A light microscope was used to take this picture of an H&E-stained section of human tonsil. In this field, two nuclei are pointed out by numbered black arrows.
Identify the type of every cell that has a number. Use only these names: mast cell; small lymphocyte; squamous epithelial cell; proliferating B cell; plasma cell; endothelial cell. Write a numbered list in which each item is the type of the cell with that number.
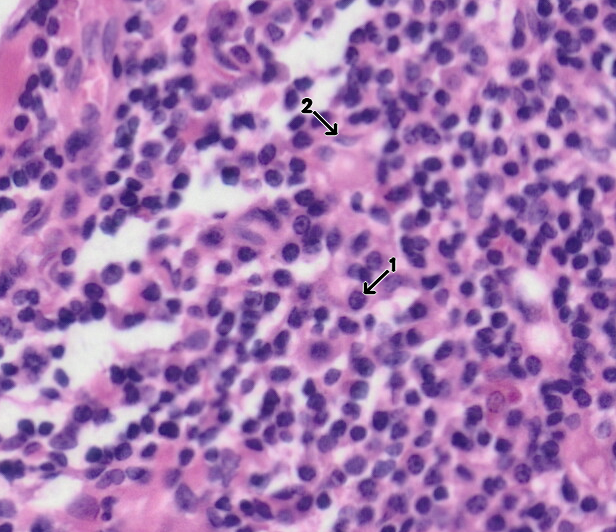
1. plasma cell
2. endothelial cell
